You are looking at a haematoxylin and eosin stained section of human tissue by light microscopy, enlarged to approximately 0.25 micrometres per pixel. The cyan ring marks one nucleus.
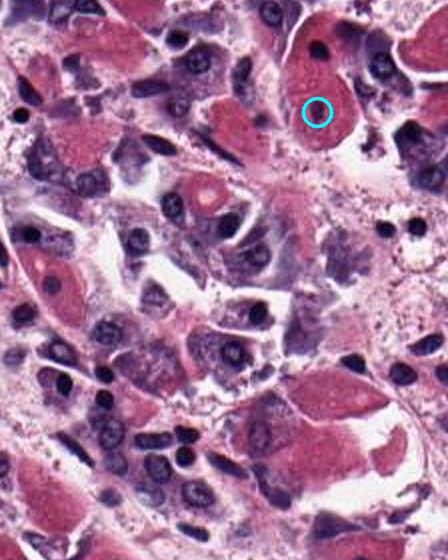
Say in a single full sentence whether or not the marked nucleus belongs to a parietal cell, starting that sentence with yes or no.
Yes, the marked nucleus is to be read as that of a parietal cell.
